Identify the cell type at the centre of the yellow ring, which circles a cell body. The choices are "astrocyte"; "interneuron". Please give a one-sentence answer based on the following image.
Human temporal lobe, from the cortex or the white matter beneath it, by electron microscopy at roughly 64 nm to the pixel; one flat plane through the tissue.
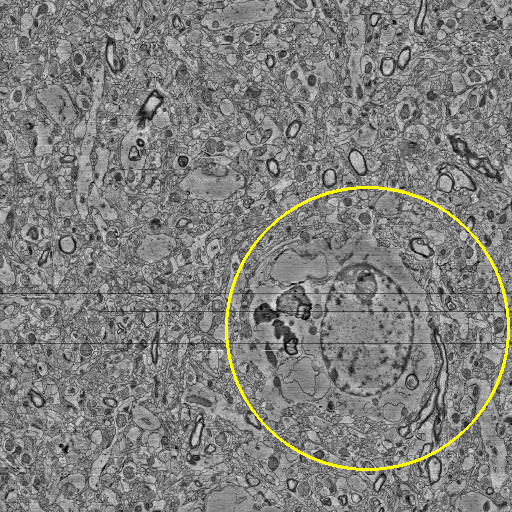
The cell marked by the ring is an astrocyte.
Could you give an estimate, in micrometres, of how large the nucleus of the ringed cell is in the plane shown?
In this plane the nucleus spans approximately 8 by 6 micrometers.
